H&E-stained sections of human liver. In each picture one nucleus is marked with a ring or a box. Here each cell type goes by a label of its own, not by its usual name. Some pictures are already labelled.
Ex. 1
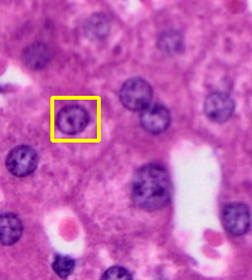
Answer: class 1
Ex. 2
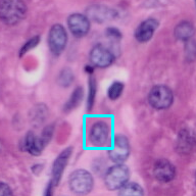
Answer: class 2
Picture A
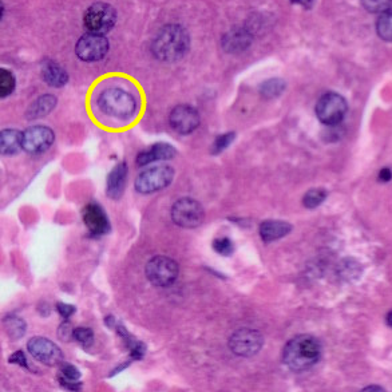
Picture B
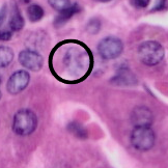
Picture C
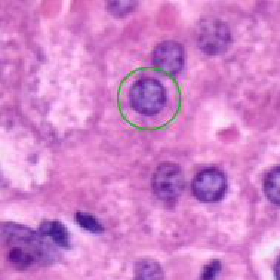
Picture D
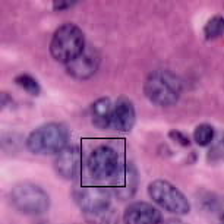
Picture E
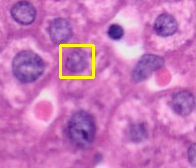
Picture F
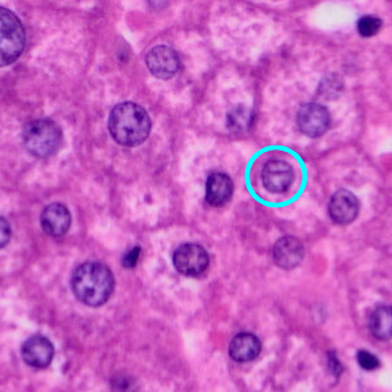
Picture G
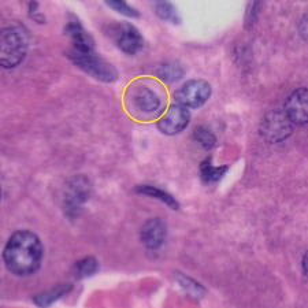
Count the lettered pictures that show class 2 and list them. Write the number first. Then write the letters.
4: A, B, D, G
